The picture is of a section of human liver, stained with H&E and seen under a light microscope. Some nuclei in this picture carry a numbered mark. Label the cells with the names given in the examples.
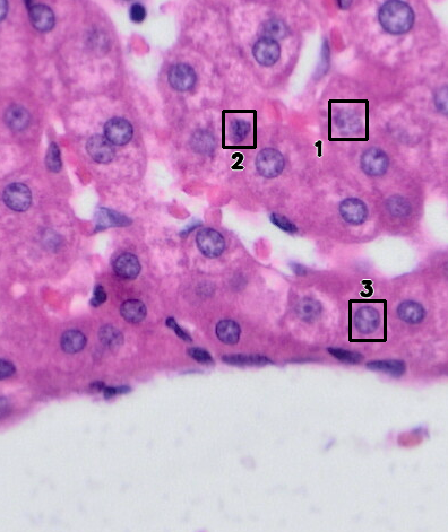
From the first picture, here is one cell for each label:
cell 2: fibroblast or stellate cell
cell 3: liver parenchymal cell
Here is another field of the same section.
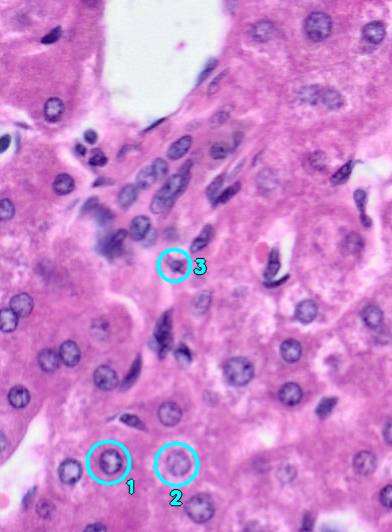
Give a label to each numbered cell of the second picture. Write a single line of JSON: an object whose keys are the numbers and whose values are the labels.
{"1": "liver parenchymal cell", "2": "liver parenchymal cell", "3": "fibroblast or stellate cell"}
